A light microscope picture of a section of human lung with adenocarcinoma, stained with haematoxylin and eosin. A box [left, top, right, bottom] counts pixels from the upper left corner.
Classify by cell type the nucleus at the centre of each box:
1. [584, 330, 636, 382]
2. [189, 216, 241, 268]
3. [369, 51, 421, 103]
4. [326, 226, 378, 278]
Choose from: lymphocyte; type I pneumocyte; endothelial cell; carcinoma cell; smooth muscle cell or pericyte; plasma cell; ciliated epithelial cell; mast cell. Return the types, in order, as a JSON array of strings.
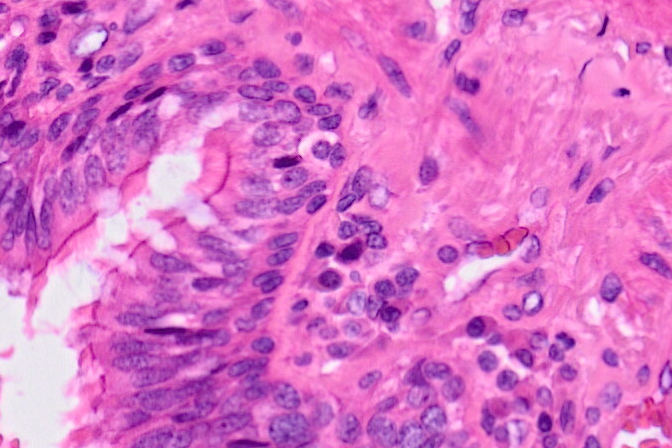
["mast cell", "ciliated epithelial cell", "smooth muscle cell or pericyte", "plasma cell"]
